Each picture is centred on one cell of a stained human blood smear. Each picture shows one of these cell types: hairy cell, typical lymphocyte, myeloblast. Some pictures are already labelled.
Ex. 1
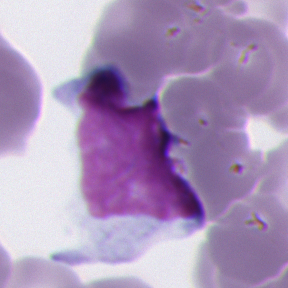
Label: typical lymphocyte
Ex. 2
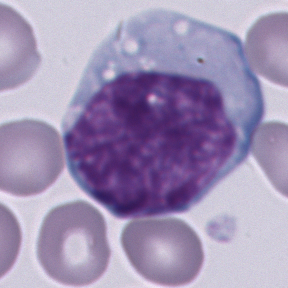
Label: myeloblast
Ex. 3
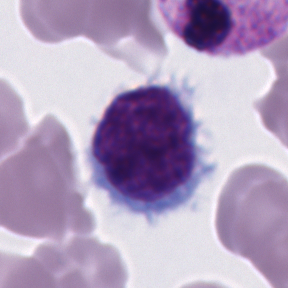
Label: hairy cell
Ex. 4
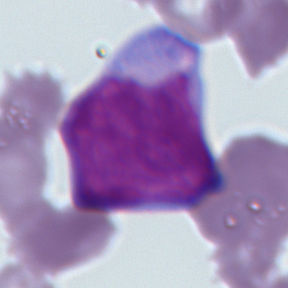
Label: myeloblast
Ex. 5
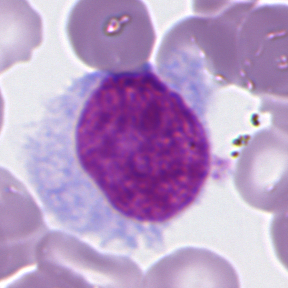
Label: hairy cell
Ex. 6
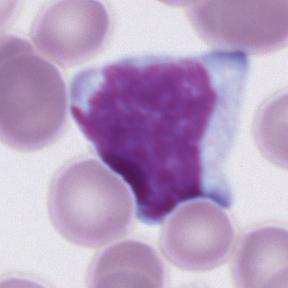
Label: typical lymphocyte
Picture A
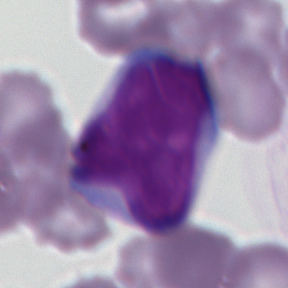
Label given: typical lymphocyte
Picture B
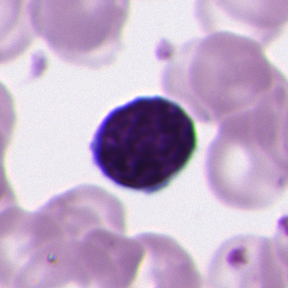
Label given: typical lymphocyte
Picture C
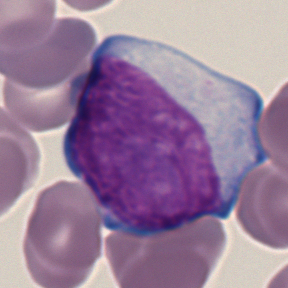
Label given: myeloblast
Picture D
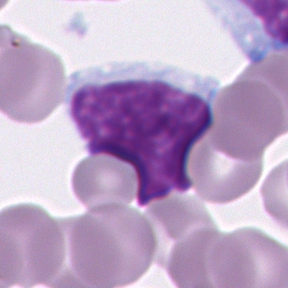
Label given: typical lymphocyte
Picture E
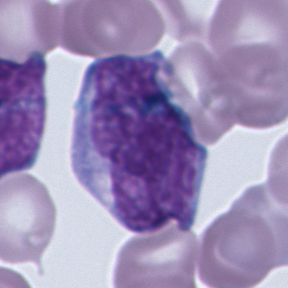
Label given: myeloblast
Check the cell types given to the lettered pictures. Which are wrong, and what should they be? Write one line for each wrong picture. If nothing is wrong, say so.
Wrong: A (typical lymphocyte); correct: myeloblast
